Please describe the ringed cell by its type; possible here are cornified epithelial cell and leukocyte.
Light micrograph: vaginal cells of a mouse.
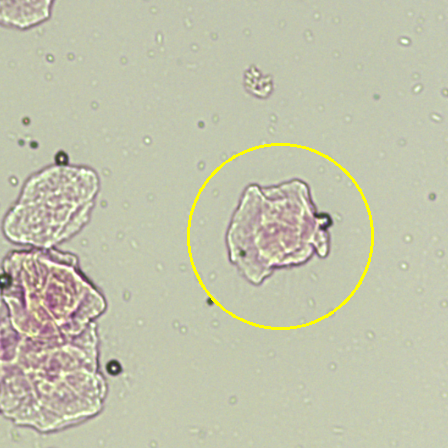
The yellow ring marks a cornified epithelial cell.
